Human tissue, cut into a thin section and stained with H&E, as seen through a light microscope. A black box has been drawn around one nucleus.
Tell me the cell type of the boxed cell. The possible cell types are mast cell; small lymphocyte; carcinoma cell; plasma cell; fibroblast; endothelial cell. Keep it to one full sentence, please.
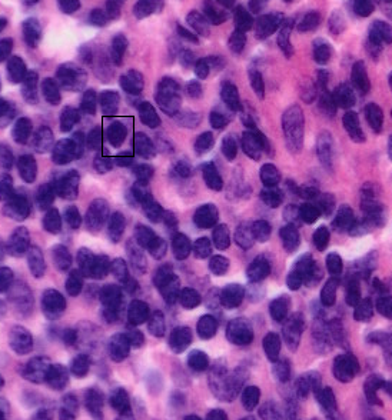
Placed in its cell category, the boxed cell is a small lymphocyte.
